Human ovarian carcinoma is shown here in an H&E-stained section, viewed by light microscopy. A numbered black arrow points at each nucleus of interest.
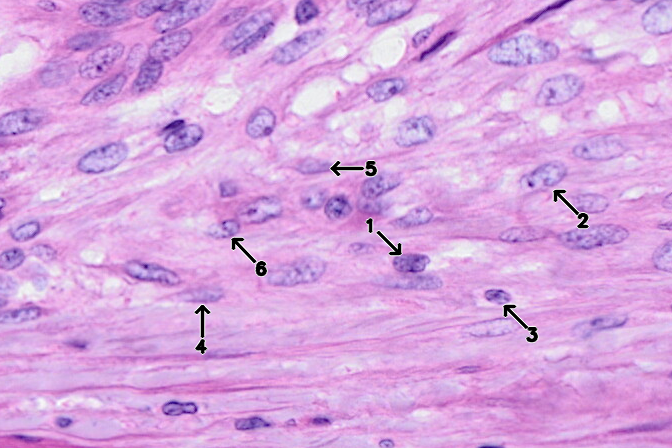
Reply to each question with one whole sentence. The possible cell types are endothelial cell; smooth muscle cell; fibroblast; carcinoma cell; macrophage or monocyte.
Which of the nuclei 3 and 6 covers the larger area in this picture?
Nucleus 6 is the larger one, covering about 1.5 times the area of nucleus 3.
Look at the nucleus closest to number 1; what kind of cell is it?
The nearest nucleus to number 1 belongs to a fibroblast.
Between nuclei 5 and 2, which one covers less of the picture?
It is nucleus 5; nucleus 2 has about 2.5 times its area.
